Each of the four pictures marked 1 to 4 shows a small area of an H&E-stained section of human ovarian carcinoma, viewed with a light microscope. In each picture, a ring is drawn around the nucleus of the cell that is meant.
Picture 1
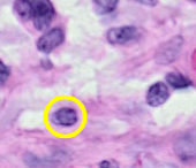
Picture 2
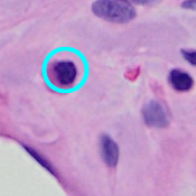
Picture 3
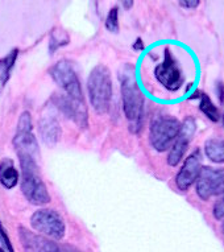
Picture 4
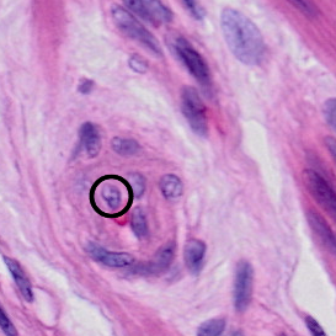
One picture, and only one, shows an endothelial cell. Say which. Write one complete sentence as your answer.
The picture with the endothelial cell is 4.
